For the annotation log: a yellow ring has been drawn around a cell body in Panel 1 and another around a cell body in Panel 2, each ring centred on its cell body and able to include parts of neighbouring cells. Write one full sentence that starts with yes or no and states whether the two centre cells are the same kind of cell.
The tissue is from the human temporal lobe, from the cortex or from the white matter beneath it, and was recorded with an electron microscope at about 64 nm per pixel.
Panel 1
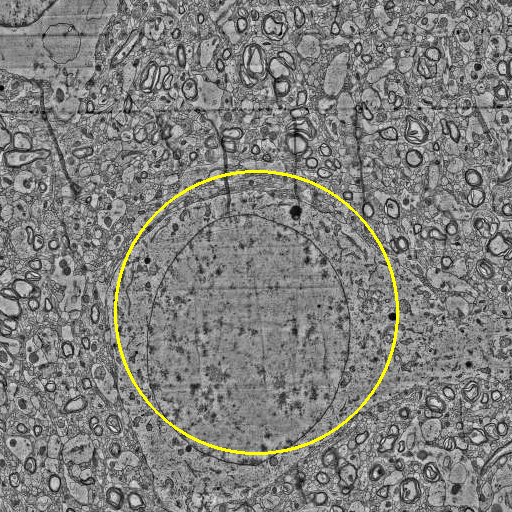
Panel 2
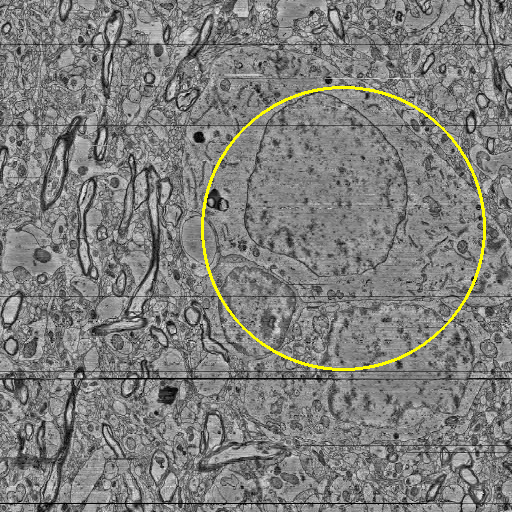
Yes, the two centre cells are the same kind of cell.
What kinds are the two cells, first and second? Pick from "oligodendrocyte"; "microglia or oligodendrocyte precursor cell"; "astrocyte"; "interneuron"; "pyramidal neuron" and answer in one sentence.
Each of the two rings is centred on a pyramidal neuron.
